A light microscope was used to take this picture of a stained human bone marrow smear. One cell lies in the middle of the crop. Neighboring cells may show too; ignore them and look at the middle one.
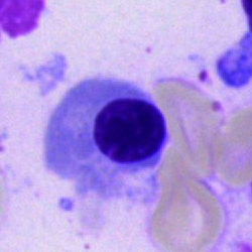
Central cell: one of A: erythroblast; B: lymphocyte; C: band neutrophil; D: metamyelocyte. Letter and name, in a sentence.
Option A gives the correct identity of the central cell, namely an erythroblast.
